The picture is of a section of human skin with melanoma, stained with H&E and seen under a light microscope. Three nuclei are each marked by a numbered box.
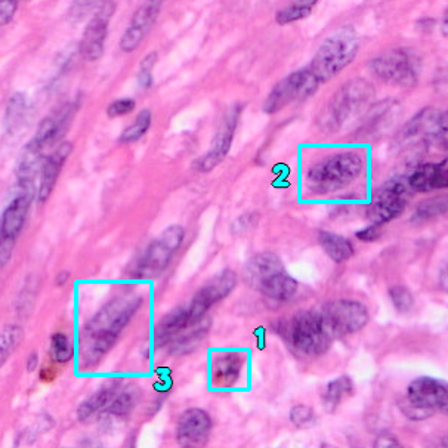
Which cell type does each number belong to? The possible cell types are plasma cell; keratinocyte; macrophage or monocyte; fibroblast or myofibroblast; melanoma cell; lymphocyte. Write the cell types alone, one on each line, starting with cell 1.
macrophage or monocyte
melanoma cell
melanoma cell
